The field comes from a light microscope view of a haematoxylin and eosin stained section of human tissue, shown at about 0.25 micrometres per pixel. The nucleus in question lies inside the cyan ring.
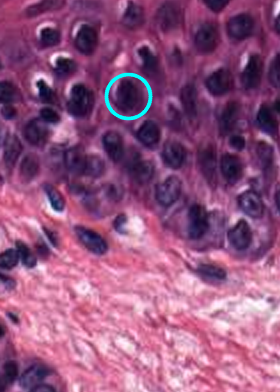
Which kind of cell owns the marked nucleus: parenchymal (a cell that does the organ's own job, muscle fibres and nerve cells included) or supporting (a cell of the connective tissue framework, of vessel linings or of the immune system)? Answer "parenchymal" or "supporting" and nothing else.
parenchymal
